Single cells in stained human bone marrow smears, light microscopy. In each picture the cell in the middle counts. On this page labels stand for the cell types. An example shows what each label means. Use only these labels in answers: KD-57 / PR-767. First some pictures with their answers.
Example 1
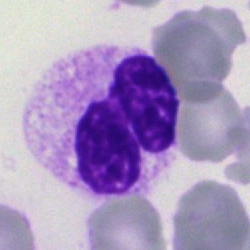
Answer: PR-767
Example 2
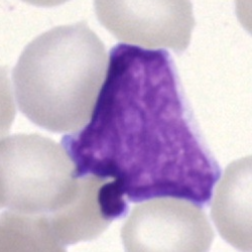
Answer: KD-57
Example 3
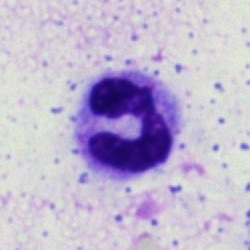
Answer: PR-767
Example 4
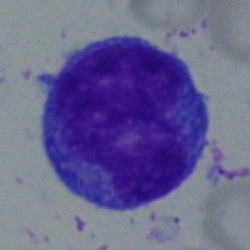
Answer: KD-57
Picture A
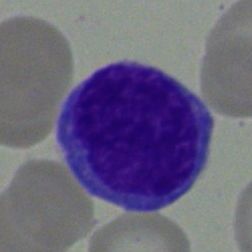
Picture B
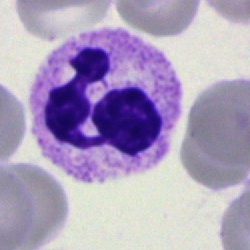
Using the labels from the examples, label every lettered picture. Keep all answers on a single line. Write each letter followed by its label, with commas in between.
A KD-57, B PR-767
